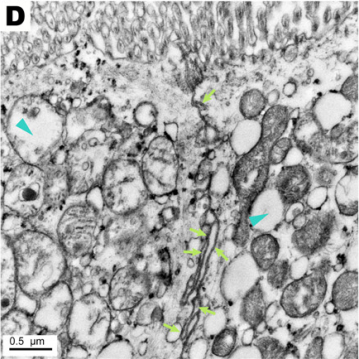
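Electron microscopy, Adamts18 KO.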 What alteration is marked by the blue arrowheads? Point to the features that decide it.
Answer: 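The marked organelles are swollen and rounded with a pale, empty-looking matrix. Their cristae are sparse or broken compared with the darker intact mitochondria nearby. Many pale vacuoles fill the cytoplasm.
Conclusion: mitochondria vacuolar degeneration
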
